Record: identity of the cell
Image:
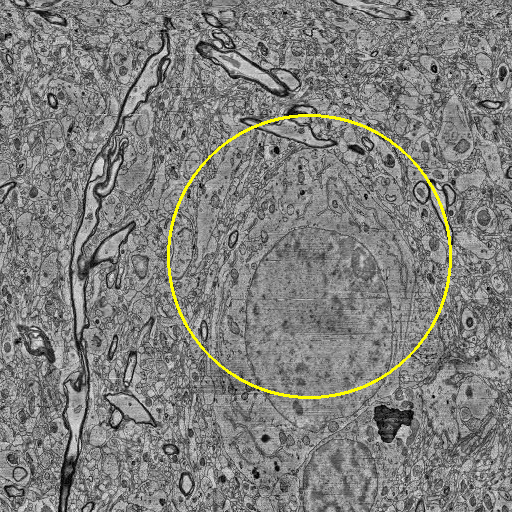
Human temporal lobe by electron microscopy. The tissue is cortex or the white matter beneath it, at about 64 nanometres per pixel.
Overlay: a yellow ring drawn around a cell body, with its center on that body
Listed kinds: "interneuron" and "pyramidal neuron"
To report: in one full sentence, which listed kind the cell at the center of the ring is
In the image, the cell body at the ring's center belongs to an interneuron.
